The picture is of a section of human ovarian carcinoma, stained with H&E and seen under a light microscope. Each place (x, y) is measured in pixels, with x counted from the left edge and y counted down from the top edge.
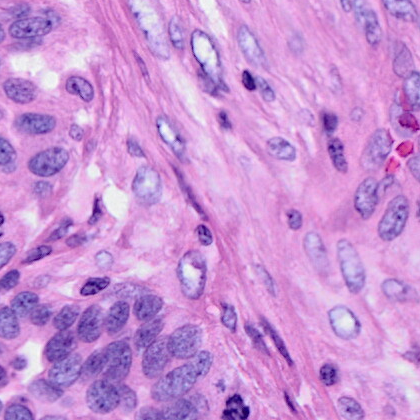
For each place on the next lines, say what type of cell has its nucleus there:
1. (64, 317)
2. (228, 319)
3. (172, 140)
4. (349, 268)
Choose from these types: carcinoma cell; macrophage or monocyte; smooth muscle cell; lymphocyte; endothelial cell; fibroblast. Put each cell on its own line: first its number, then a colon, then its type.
1: carcinoma cell
2: fibroblast
3: fibroblast
4: fibroblast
